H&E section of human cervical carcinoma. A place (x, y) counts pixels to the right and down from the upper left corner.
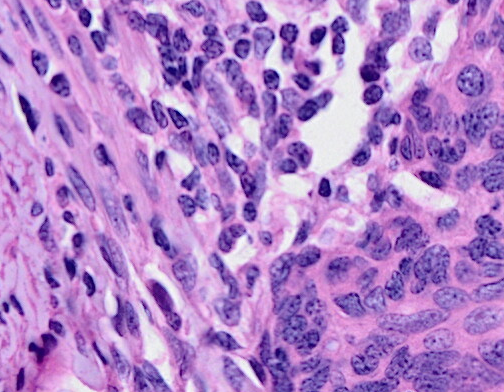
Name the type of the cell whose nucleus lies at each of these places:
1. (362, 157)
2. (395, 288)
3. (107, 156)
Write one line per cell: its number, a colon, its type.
1: lymphocyte
2: squamous carcinoma cell
3: lymphocyte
